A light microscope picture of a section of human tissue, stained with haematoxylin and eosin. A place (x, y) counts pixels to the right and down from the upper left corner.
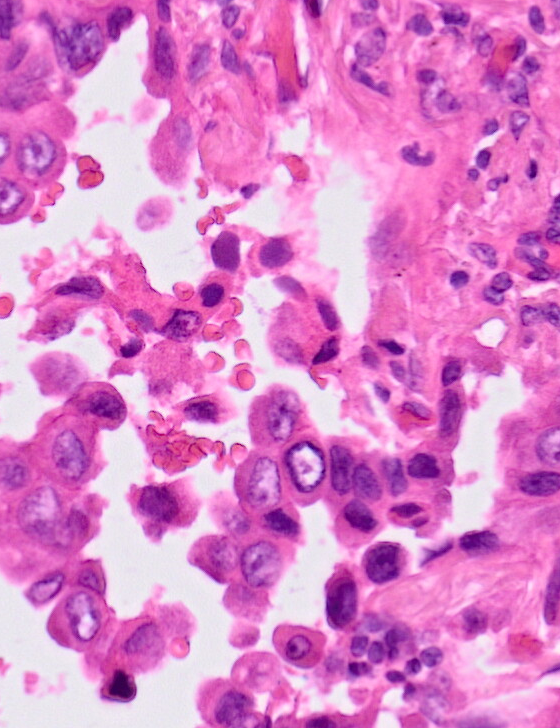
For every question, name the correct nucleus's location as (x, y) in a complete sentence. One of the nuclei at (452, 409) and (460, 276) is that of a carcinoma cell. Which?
Of the two nuclei, that at (452, 409) is the nucleus of a carcinoma cell.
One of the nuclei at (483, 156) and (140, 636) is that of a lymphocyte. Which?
Rather than the other nucleus, the one at (483, 156) belongs to a lymphocyte.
